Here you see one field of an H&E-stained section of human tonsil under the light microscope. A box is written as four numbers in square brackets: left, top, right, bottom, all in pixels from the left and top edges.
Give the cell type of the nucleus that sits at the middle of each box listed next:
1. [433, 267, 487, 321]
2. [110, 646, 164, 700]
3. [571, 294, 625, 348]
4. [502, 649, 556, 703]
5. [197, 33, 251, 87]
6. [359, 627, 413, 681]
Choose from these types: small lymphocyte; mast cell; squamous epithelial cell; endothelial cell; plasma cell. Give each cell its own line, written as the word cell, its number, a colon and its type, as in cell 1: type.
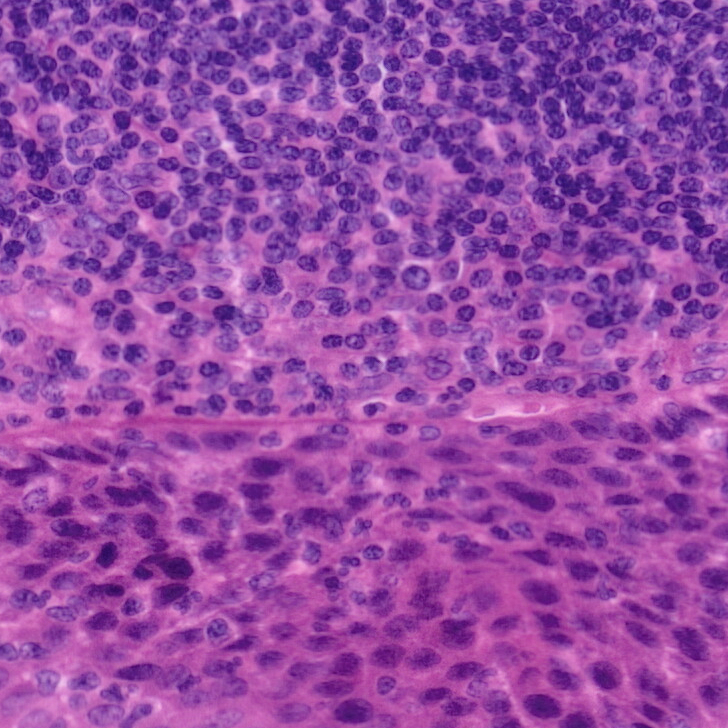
cell 1: plasma cell
cell 2: squamous epithelial cell
cell 3: plasma cell
cell 4: squamous epithelial cell
cell 5: small lymphocyte
cell 6: squamous epithelial cell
